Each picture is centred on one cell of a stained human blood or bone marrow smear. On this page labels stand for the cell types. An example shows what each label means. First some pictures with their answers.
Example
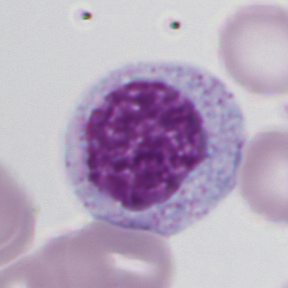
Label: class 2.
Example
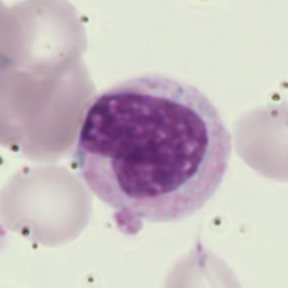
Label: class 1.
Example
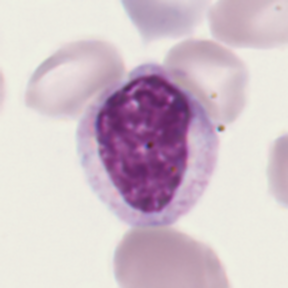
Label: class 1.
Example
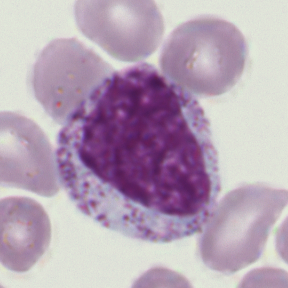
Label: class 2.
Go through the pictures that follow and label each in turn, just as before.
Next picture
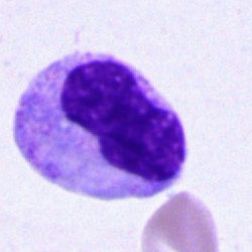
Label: class 1.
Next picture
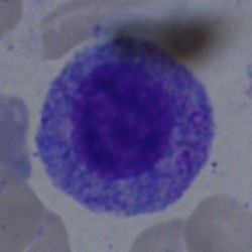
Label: class 2.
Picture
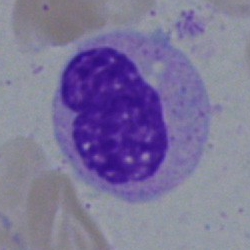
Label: class 1.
